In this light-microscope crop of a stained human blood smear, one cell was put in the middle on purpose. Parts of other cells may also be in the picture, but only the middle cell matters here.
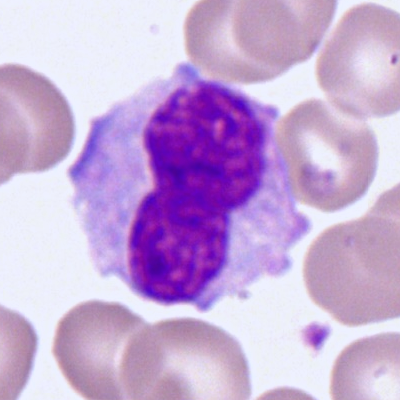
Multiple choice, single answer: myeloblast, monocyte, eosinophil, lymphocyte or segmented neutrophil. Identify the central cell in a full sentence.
The cell at the centre of the field is a monocyte.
